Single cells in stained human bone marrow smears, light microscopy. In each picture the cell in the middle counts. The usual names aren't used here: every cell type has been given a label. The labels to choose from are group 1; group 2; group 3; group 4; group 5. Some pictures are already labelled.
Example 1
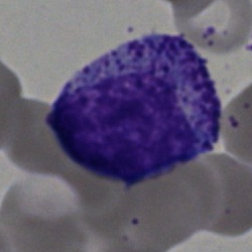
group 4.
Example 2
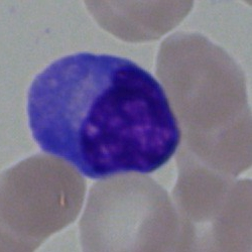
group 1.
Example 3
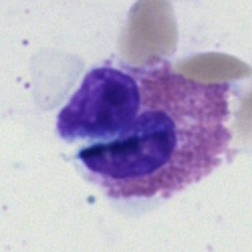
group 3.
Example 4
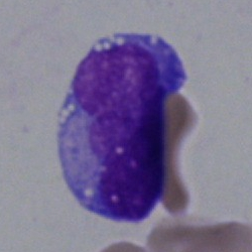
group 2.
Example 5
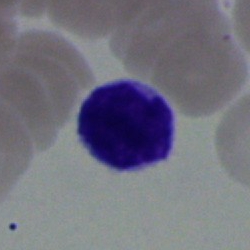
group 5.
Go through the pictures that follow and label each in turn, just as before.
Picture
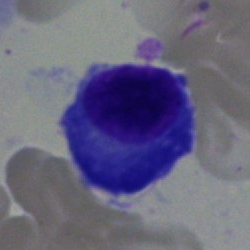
group 1.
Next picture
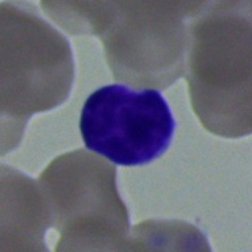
group 5.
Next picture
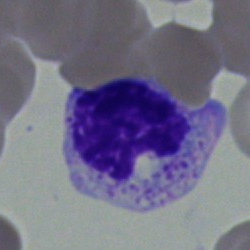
group 4.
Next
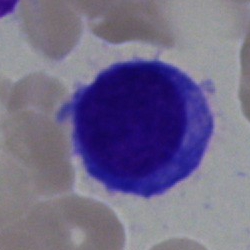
group 1.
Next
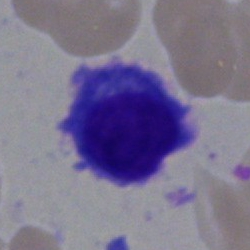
group 1.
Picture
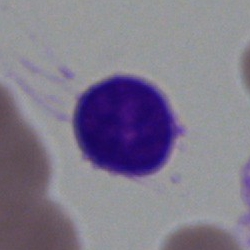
group 5.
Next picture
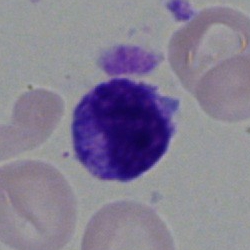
group 4.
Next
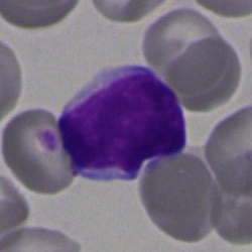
group 5.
